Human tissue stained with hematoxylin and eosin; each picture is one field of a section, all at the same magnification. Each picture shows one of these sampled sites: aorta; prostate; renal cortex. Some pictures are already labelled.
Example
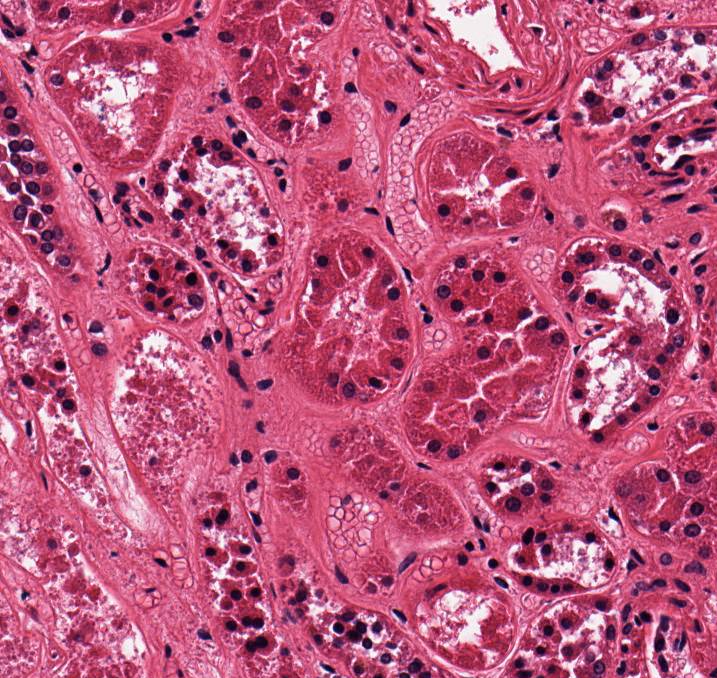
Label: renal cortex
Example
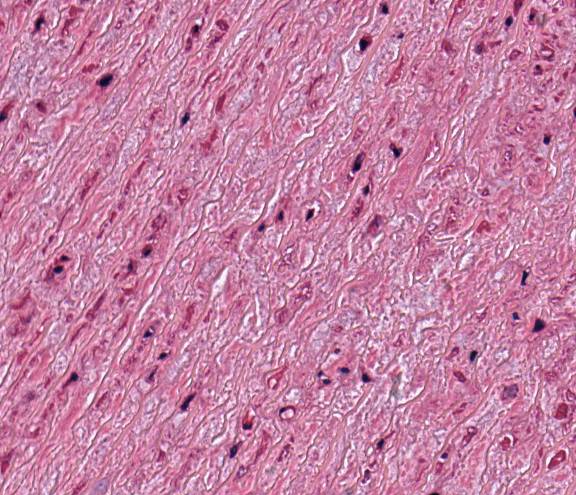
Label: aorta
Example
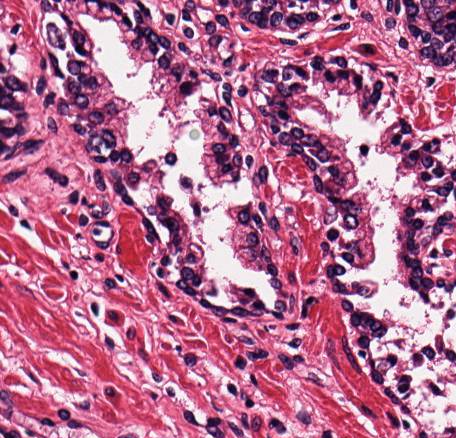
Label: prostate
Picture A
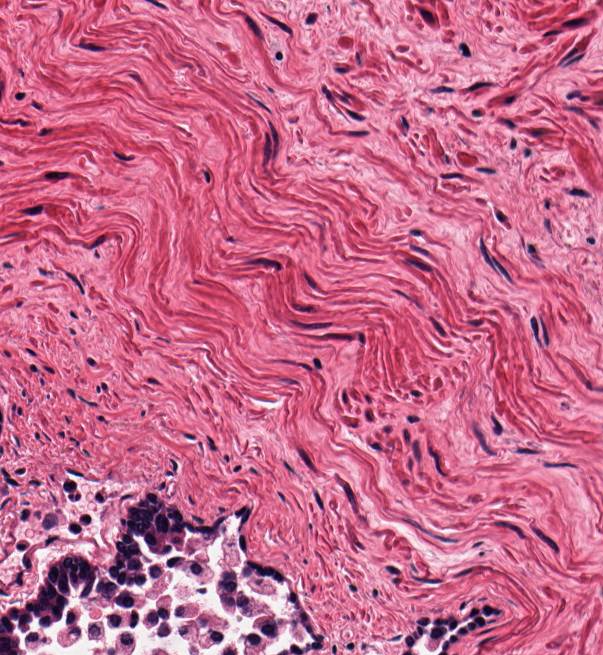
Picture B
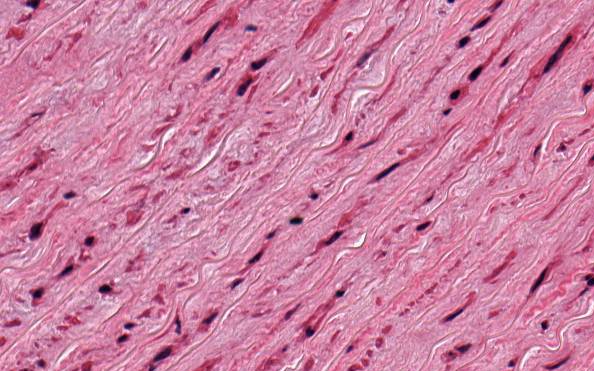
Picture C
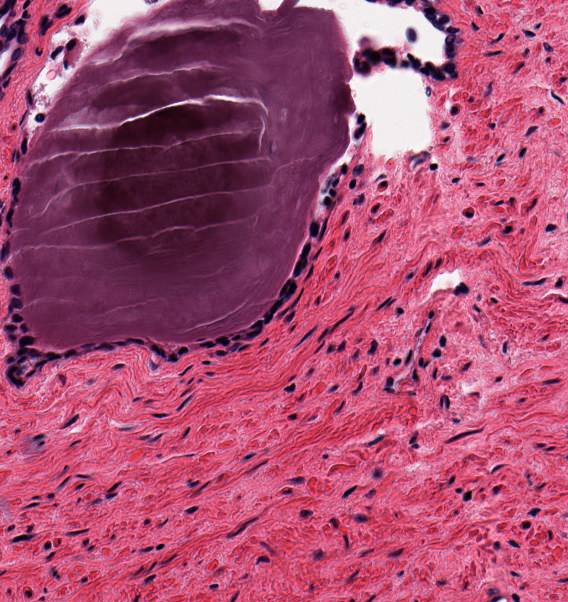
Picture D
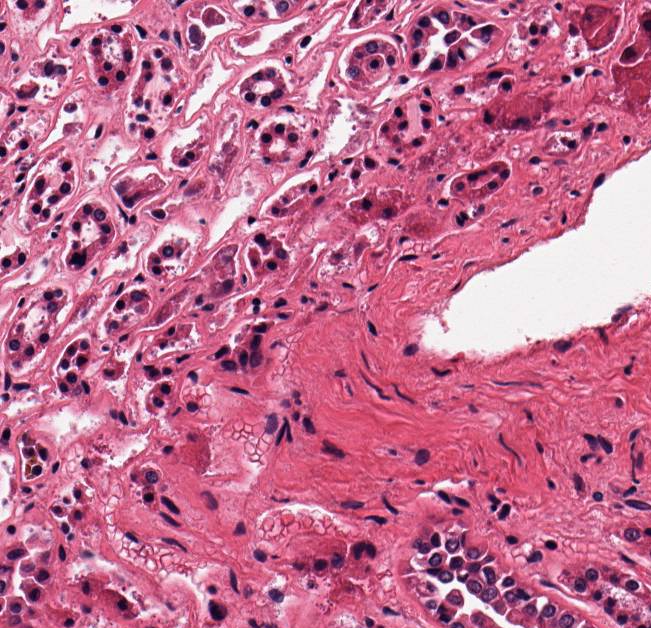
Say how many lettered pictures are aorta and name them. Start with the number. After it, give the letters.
1, namely B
